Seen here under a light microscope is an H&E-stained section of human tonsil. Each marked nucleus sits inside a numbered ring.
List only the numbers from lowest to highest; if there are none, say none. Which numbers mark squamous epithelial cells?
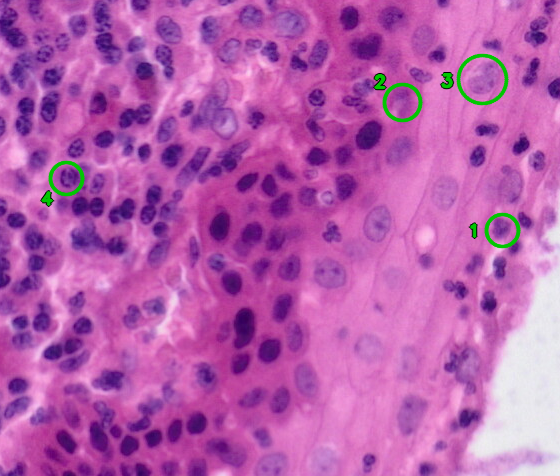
1, 2, 3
